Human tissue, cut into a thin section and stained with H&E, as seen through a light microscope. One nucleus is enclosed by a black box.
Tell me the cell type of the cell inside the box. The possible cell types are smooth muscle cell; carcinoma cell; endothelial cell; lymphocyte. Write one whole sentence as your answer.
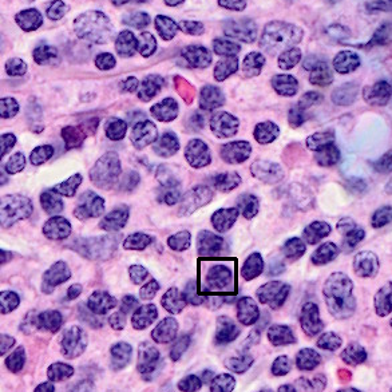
To be brief about it, the cell inside the box is a lymphocyte.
